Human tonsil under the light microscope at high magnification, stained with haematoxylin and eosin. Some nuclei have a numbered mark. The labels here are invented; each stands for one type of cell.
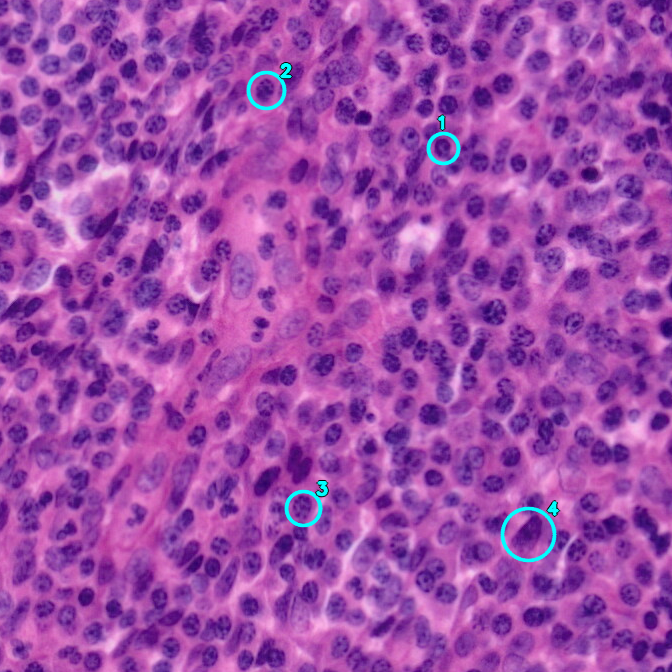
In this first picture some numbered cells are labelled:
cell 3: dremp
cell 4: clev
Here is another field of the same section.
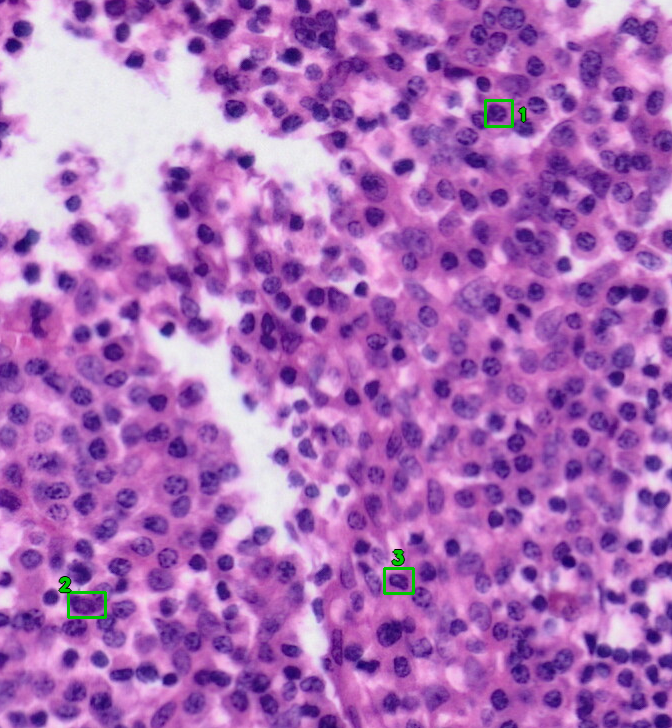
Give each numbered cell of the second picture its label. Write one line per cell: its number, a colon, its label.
1: dremp
2: clev
3: dremp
